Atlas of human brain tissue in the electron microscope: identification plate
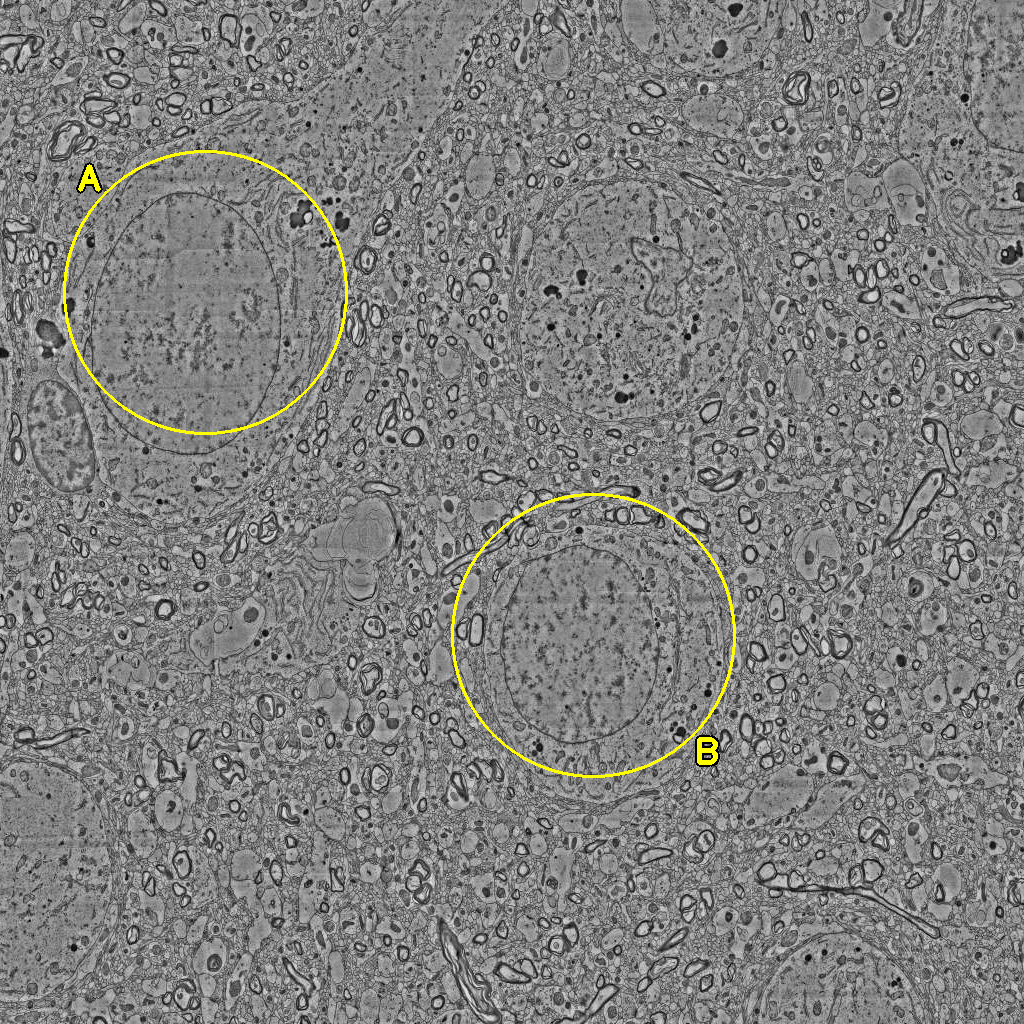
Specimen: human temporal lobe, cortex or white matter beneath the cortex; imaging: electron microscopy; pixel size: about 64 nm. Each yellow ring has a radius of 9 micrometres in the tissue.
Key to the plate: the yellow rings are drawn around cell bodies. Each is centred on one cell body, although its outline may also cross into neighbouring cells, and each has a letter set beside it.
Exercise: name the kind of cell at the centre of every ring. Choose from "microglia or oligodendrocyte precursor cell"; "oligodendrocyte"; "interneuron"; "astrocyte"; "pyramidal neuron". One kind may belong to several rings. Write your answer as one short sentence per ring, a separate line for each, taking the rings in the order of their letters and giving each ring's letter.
The centre of ring A is occupied by a pyramidal neuron.
The centre of ring B is occupied by a pyramidal neuron.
